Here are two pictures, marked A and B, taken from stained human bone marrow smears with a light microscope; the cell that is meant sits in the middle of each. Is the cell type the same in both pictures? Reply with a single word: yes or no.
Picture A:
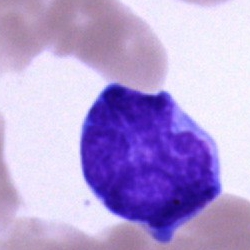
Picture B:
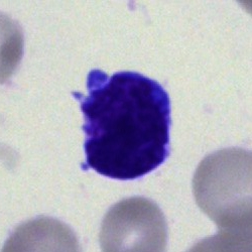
yes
